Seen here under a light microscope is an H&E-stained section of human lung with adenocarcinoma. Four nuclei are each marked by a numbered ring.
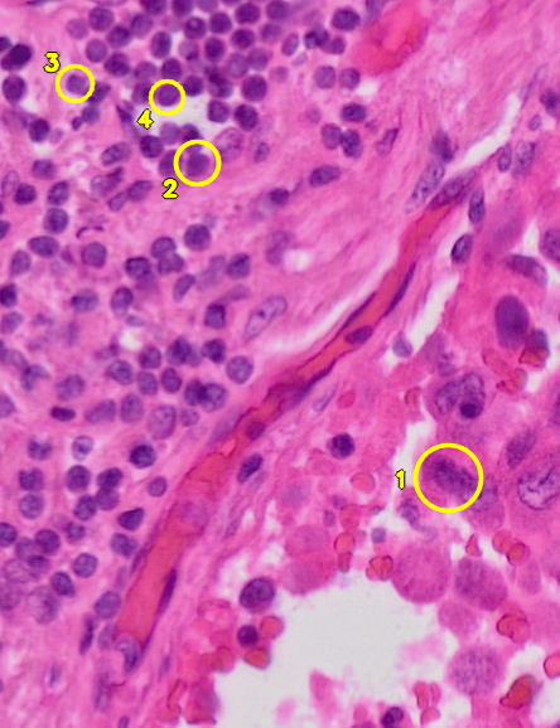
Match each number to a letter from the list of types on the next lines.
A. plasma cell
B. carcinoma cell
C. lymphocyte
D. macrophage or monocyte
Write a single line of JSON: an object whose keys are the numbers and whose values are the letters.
{"1": "B", "2": "C", "3": "C", "4": "C"}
